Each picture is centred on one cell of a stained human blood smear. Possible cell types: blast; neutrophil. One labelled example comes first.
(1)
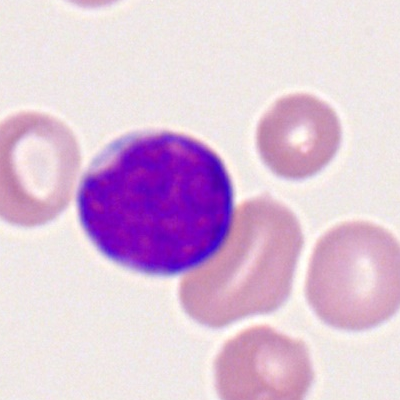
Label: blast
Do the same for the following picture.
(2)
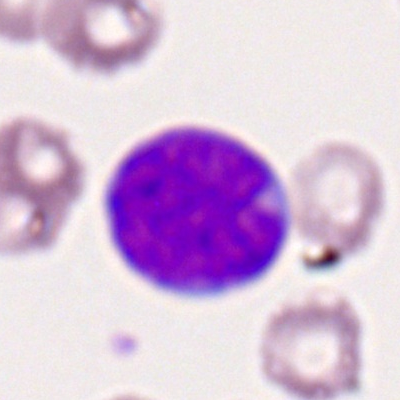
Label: blast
